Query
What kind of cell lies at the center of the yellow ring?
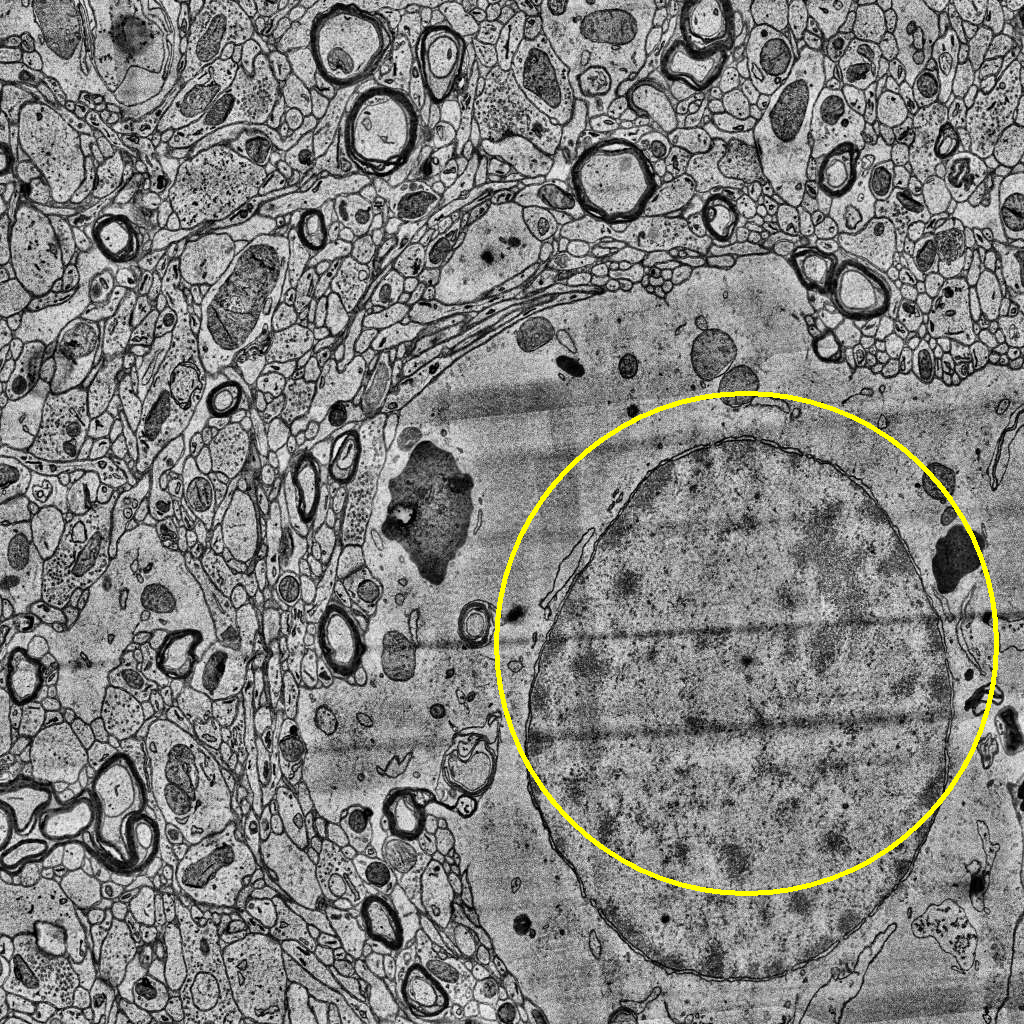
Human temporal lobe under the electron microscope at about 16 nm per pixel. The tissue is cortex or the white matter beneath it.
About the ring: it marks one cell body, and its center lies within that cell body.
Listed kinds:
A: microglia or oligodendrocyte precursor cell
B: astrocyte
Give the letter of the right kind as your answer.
B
